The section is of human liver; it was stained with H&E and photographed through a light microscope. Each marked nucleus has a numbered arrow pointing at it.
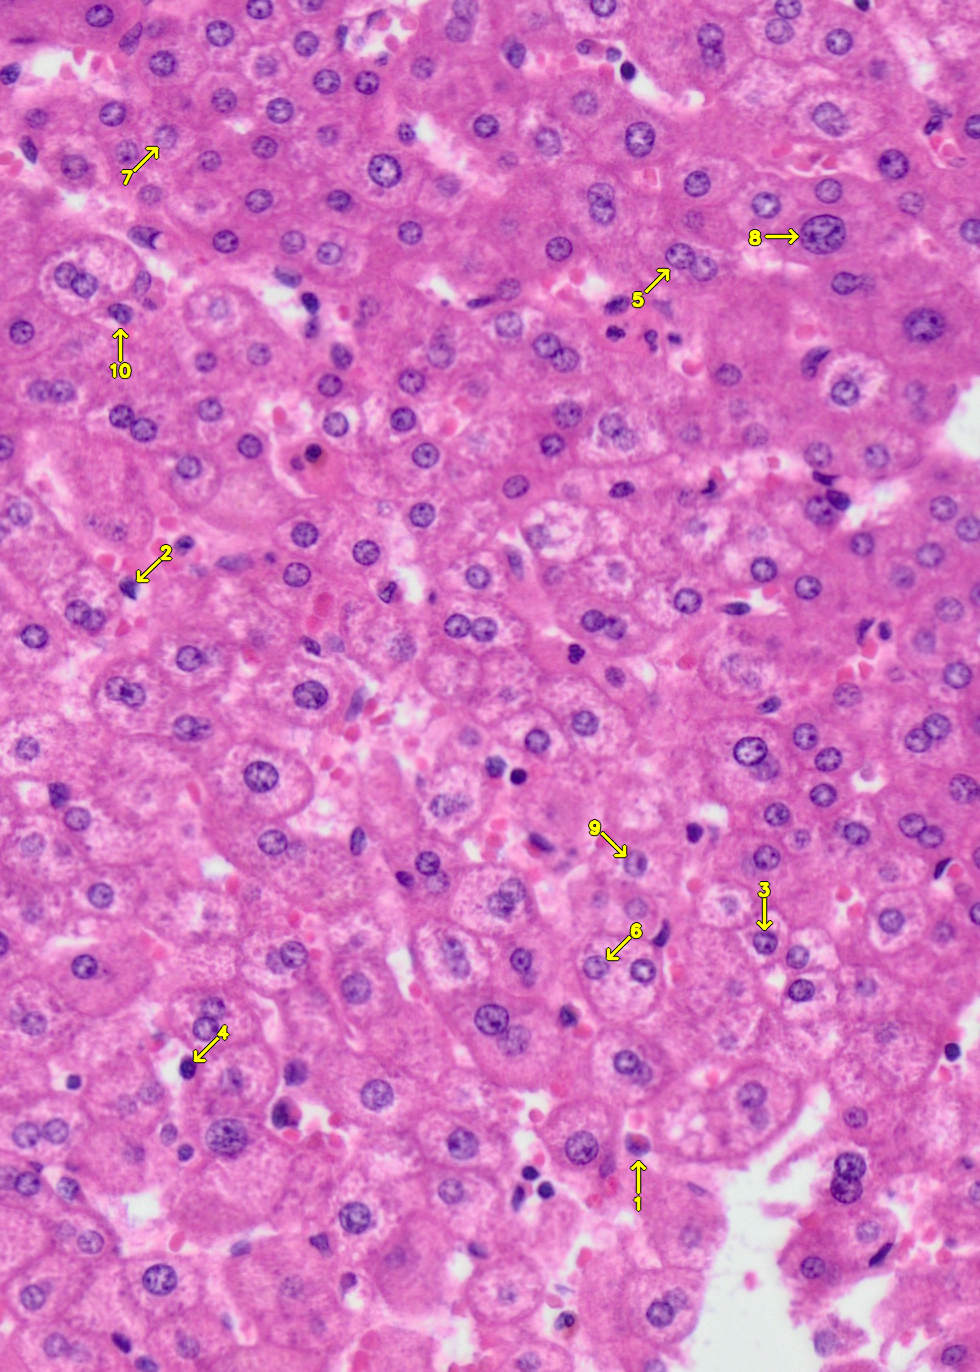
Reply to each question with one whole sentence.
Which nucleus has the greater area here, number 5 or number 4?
The larger nucleus is 5, at roughly 1.5 times the area of 4.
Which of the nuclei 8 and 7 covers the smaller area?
Nucleus 7 is the smaller one; nucleus 8 covers about 4 times its area.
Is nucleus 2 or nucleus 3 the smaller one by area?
Number 2 is smaller, since number 3 takes up about 1.5 times as much area.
